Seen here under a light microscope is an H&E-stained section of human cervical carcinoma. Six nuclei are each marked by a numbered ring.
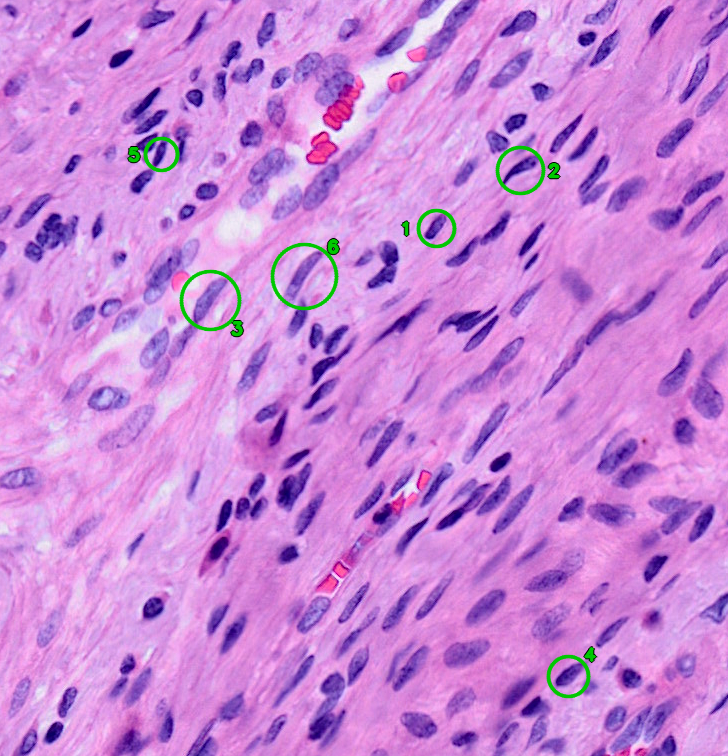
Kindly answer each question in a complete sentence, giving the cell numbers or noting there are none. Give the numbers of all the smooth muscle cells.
Only cell 6 is a smooth muscle cell; none of the other numbered cells is.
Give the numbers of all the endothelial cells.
Being an endothelial cell is true of cell 3 and of no other numbered cell.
